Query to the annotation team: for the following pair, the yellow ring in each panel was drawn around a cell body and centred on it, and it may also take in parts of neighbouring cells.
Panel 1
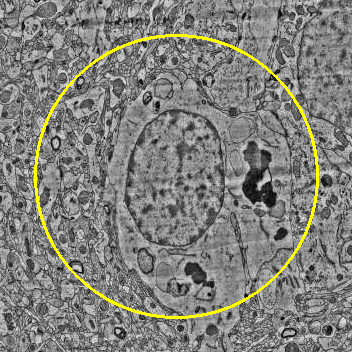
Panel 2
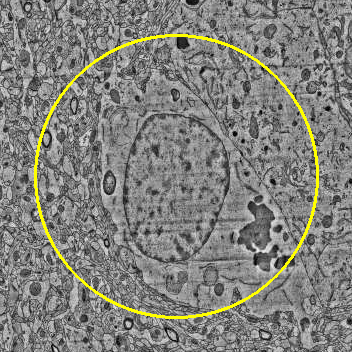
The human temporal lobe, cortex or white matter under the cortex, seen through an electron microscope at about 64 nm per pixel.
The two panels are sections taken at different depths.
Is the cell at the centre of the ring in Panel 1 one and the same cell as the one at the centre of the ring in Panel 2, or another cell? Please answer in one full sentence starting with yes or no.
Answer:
Yes, a single cell is the subject of both yellow rings.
